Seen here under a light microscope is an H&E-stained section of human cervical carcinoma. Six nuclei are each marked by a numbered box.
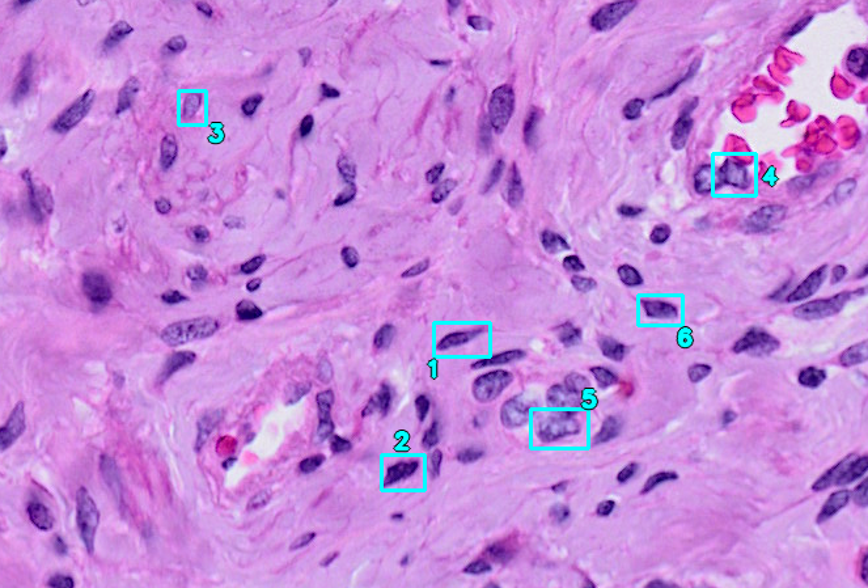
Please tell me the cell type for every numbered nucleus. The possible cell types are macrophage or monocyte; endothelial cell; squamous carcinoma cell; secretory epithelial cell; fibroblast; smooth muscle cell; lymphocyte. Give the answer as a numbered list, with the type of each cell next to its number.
1. fibroblast
2. fibroblast
3. smooth muscle cell
4. endothelial cell
5. endothelial cell
6. fibroblast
